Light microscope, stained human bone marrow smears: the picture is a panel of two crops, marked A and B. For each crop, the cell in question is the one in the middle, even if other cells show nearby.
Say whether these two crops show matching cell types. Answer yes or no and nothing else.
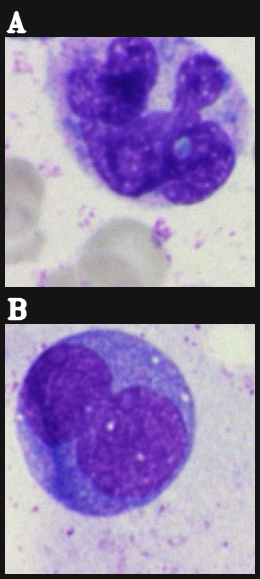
yes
